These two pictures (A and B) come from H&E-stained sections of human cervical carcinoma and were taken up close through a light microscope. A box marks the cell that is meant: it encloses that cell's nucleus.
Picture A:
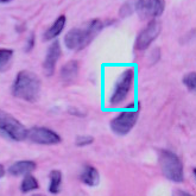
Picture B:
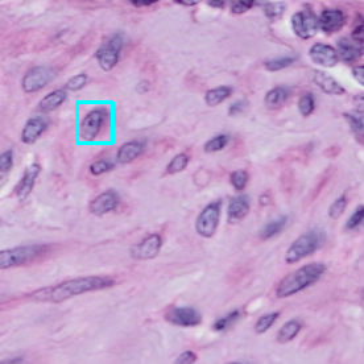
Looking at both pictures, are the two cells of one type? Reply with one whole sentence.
No. Picture A shows an endothelial cell, but picture B shows a smooth muscle cell.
